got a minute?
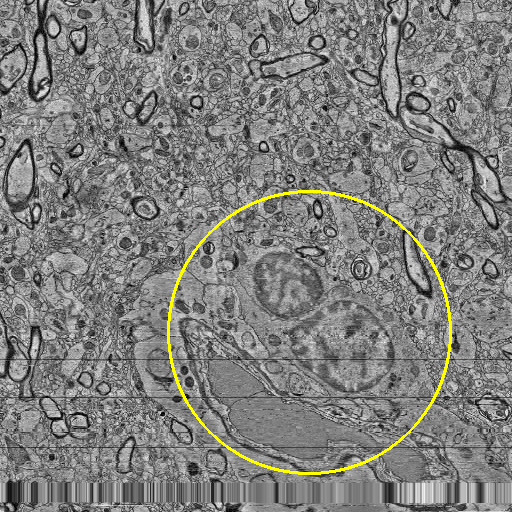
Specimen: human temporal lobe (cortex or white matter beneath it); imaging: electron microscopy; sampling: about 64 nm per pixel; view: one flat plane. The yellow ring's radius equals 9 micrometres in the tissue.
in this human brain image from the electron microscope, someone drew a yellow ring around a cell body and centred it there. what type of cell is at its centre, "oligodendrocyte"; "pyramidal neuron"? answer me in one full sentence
It's an oligodendrocyte at the middle of that yellow ring in the shot.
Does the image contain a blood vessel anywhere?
Yes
